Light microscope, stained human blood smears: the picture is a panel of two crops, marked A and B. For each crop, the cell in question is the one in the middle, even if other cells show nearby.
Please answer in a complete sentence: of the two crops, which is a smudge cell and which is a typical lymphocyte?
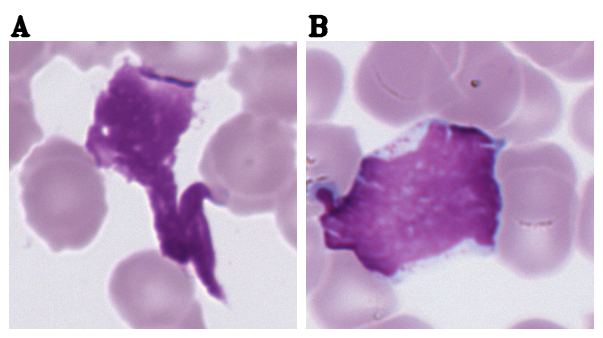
Crop A holds a smudge cell; a typical lymphocyte occupies crop B.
